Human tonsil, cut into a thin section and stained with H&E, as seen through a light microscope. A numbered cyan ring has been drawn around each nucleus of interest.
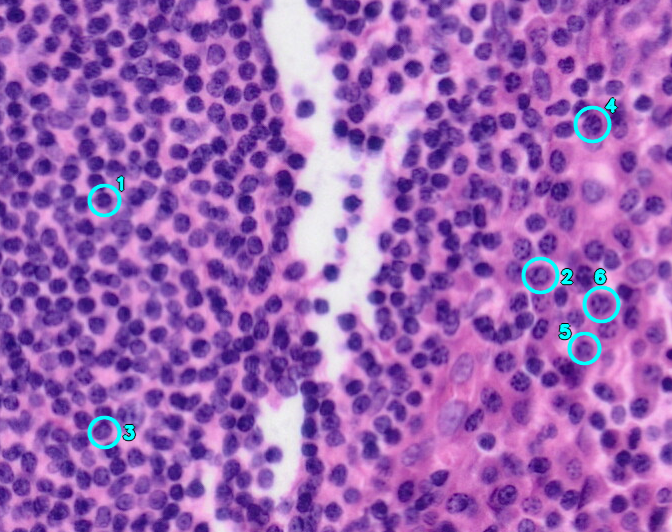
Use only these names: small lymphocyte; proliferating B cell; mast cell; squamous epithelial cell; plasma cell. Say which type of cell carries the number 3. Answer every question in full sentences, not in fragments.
The cell tagged with 3 in this tissue section is a small lymphocyte.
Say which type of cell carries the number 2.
Recognised here as a plasma cell is the cell numbered 2.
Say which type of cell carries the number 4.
The nucleus with number 4 is that of a plasma cell.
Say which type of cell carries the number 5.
The identity of cell 5 is that of a plasma cell.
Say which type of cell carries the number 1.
The correct label for cell 1 is a small lymphocyte.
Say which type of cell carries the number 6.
The nucleus marked 6 is the nucleus of a plasma cell.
